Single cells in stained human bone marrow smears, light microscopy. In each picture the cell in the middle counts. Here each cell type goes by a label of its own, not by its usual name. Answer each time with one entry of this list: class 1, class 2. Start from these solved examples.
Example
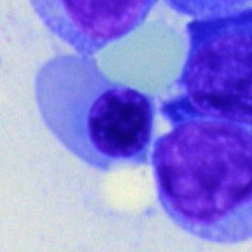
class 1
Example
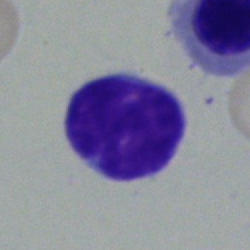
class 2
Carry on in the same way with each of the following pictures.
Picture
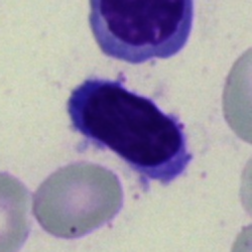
class 2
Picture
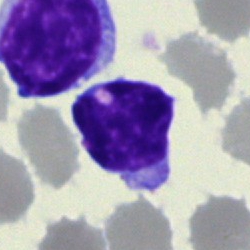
class 2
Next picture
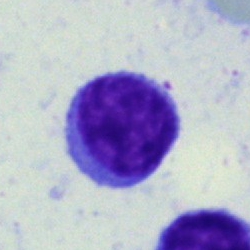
class 2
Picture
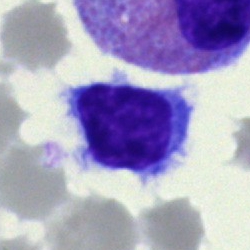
class 2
